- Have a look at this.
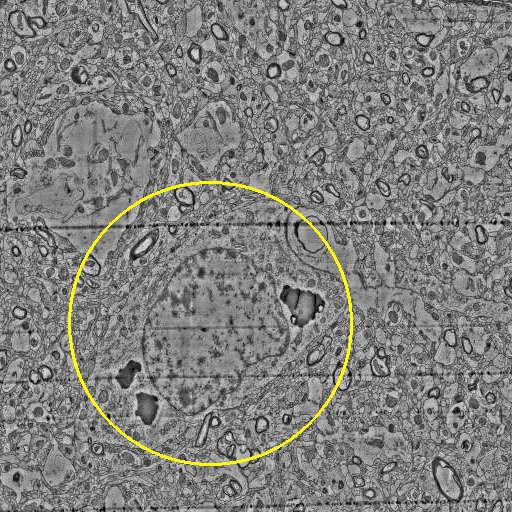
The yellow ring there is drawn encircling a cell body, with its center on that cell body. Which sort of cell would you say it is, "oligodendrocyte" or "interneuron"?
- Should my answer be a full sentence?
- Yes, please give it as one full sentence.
For this picture, an interneuron is the cell where the yellow ring has its center.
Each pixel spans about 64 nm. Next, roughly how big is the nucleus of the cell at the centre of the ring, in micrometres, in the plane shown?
About 11 by 9 micrometers for the nucleus, in this plane.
